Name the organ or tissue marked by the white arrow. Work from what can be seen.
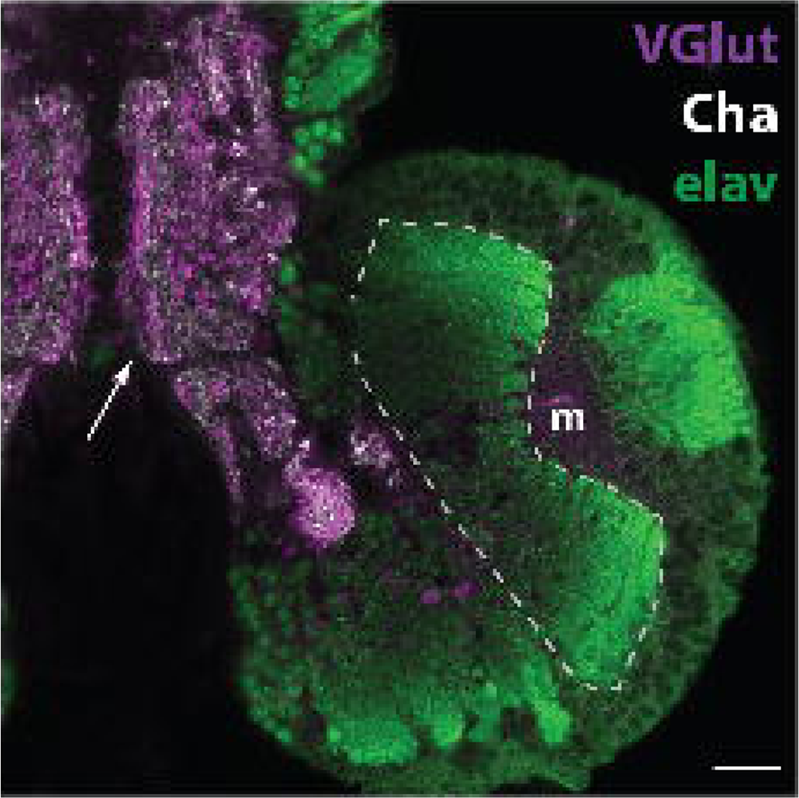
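Ventral nerve cord. The arrow points into a purple and white stained elongated tissue at the left edge. This tissue lies outside the round green-stained lobe on the right.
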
